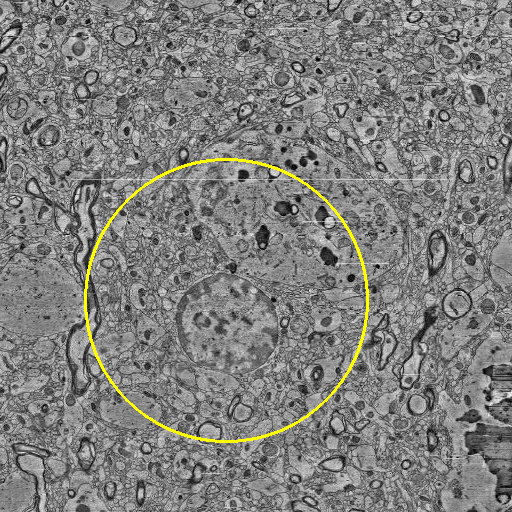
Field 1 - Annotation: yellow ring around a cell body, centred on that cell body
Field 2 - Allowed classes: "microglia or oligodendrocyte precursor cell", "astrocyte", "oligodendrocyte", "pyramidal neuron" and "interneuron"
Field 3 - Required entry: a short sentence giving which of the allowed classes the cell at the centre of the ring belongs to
The centred cell is a microglial cell or oligodendrocyte precursor cell.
